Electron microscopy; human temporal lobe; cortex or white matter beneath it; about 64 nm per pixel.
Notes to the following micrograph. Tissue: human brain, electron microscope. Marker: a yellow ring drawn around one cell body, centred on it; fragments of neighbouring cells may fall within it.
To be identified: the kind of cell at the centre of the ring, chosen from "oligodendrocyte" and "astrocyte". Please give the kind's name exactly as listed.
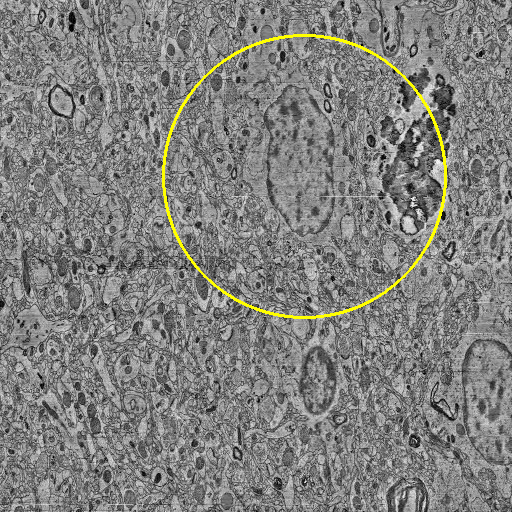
astrocyte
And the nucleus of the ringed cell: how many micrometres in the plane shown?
In this plane, the nucleus of the cell at the centre of the ring measures about 10 by 5 micrometres.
